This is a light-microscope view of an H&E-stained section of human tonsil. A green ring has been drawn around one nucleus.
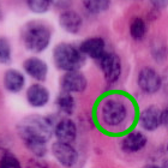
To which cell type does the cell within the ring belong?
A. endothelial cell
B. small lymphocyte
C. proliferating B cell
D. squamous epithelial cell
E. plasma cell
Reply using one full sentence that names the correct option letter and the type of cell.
Exactly as option E gives it, the cell within the ring is a plasma cell.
